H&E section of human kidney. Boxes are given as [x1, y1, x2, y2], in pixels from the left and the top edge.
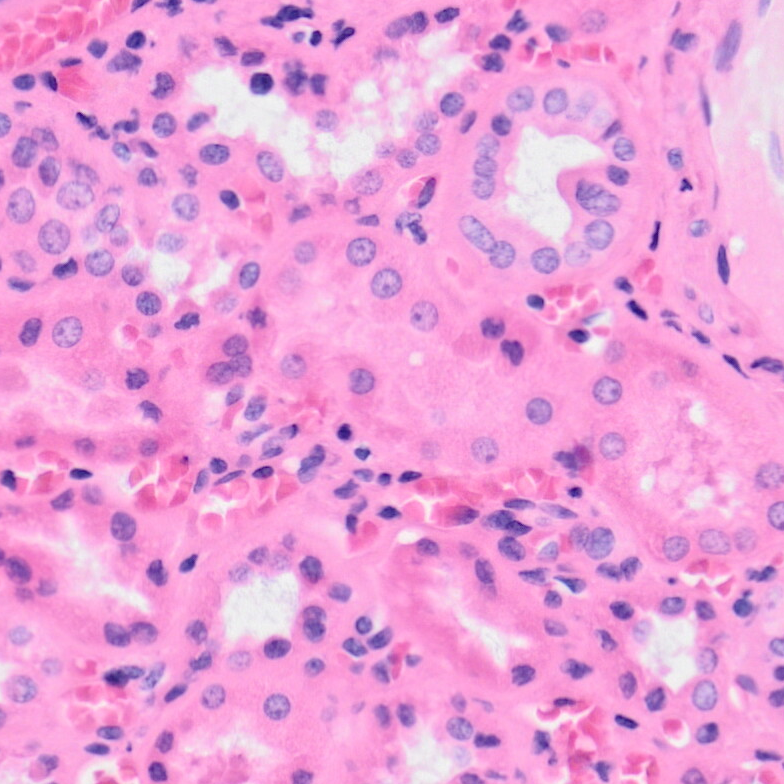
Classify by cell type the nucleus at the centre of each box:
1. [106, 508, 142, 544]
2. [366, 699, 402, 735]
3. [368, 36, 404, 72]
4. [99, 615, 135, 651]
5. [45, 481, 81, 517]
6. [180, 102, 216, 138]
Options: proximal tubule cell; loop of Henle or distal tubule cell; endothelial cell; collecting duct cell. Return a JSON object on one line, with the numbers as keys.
{"1": "proximal tubule cell", "2": "loop of Henle or distal tubule cell", "3": "loop of Henle or distal tubule cell", "4": "proximal tubule cell", "5": "proximal tubule cell", "6": "loop of Henle or distal tubule cell"}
